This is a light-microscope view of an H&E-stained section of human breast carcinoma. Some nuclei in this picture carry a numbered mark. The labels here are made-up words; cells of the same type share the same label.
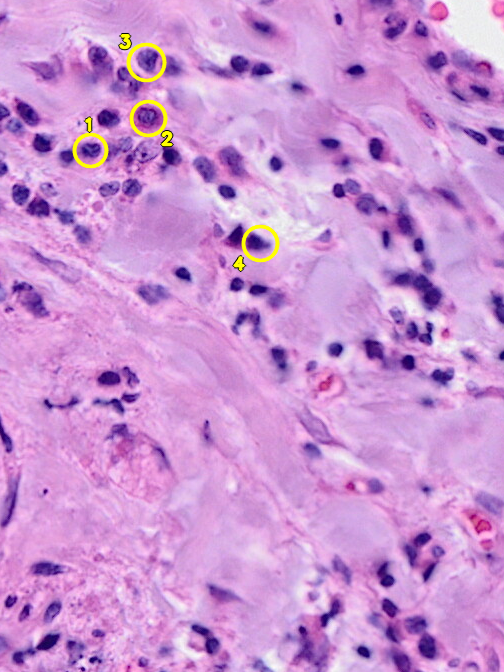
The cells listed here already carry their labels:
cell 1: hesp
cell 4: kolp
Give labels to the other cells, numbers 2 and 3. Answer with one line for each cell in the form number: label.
2: hesp
3: kolp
